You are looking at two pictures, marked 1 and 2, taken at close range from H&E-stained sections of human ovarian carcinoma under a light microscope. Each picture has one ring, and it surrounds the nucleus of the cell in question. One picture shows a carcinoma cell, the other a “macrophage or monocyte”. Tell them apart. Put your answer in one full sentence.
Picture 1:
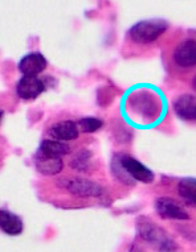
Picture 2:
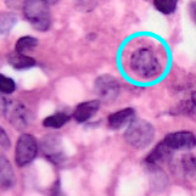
It is picture 1 that shows a carcinoma cell, and picture 2 that shows a “macrophage or monocyte”.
